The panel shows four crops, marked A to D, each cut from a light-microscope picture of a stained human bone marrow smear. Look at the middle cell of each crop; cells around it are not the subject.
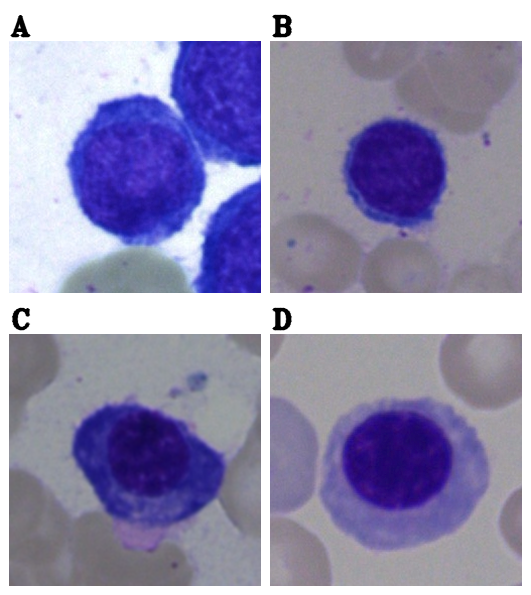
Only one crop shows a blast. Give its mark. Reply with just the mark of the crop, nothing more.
A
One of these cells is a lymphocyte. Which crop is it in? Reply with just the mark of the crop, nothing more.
B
